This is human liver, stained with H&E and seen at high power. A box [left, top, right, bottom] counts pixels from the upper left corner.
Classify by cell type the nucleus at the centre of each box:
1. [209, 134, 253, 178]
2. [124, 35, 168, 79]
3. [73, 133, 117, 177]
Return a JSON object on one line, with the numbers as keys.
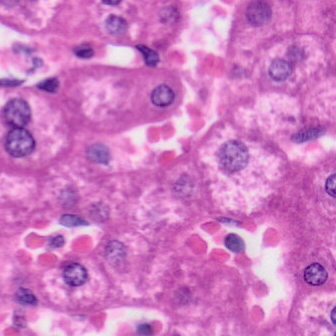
{"1": "hepatocyte", "2": "fibroblast or stellate cell", "3": "endothelial cell"}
